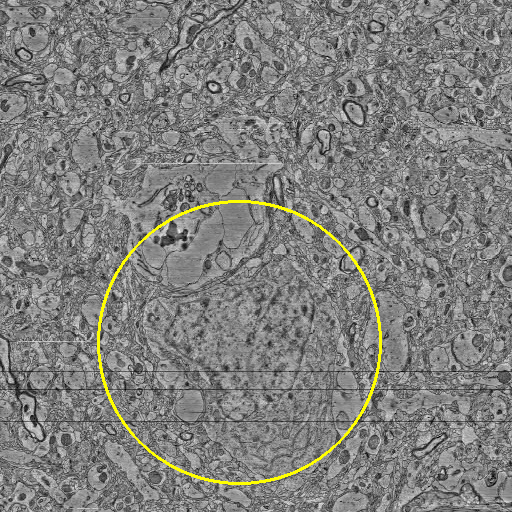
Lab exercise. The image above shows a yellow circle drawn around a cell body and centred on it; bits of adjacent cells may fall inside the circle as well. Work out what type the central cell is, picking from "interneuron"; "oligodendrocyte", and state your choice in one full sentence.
In the image above, the cell at the centre of the yellow circle is an interneuron.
